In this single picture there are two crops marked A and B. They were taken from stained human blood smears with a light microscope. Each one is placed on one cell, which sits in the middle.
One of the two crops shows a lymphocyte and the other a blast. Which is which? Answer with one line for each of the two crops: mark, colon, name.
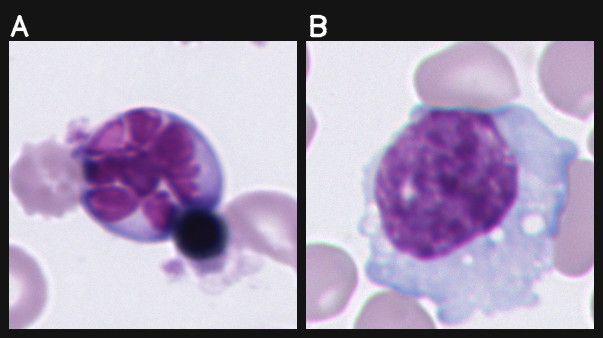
A: lymphocyte
B: blast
